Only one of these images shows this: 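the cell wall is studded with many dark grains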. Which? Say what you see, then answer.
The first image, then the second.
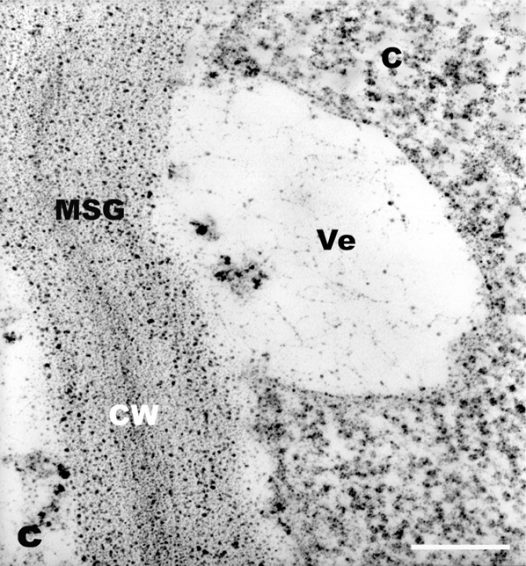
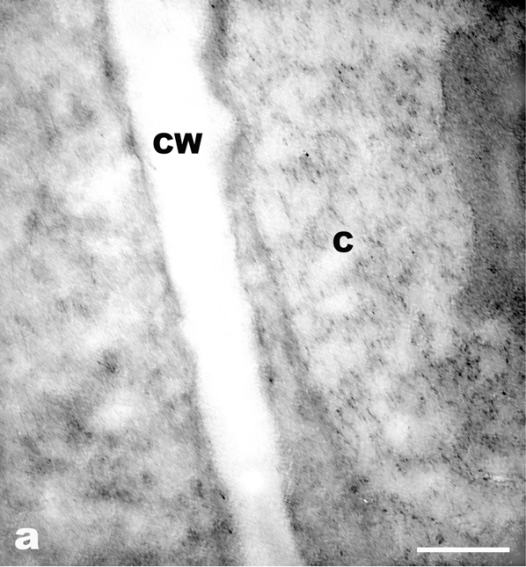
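The first image. First image: the band of cell wall is densely peppered with small black dots. Second image: the cell wall is a clear white band without black dots.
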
